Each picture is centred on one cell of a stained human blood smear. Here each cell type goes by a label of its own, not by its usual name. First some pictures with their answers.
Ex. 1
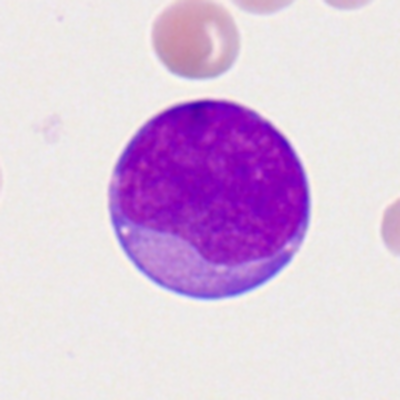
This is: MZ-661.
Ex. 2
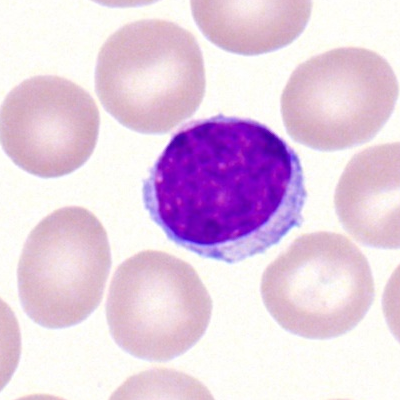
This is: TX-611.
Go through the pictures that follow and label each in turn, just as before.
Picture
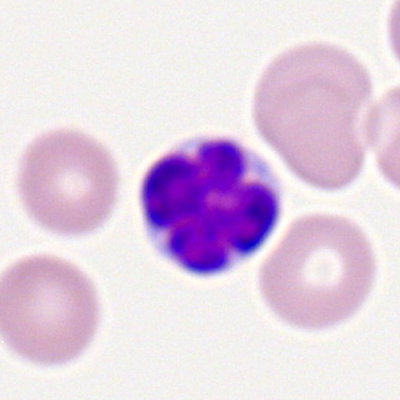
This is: TX-611.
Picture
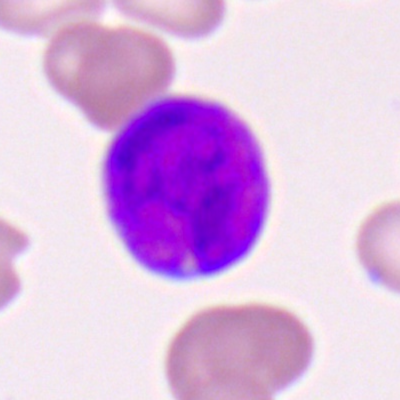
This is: MZ-661.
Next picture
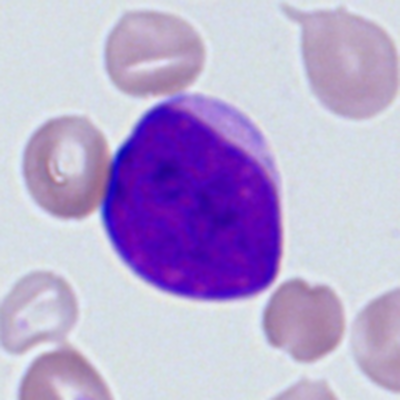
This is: MZ-661.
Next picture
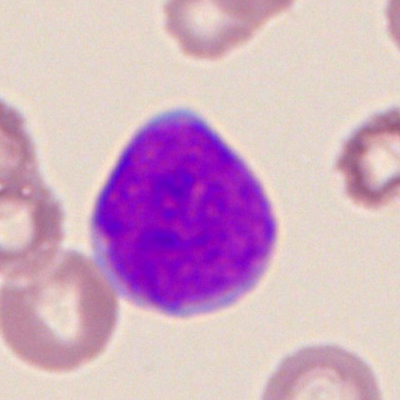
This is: MZ-661.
